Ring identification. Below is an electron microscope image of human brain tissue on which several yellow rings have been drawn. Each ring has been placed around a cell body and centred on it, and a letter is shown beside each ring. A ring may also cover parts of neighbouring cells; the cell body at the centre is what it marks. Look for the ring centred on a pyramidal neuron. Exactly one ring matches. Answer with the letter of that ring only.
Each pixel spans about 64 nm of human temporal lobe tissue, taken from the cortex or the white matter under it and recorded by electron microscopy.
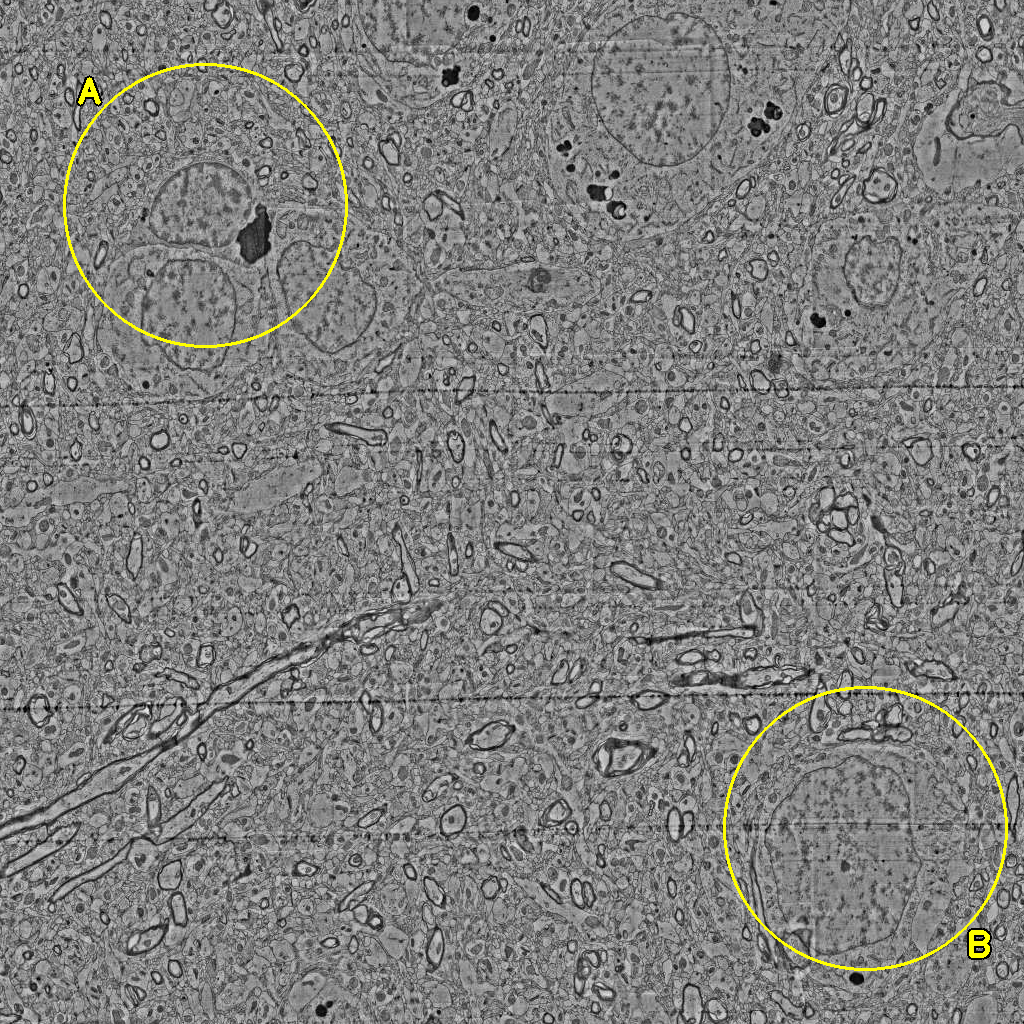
B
